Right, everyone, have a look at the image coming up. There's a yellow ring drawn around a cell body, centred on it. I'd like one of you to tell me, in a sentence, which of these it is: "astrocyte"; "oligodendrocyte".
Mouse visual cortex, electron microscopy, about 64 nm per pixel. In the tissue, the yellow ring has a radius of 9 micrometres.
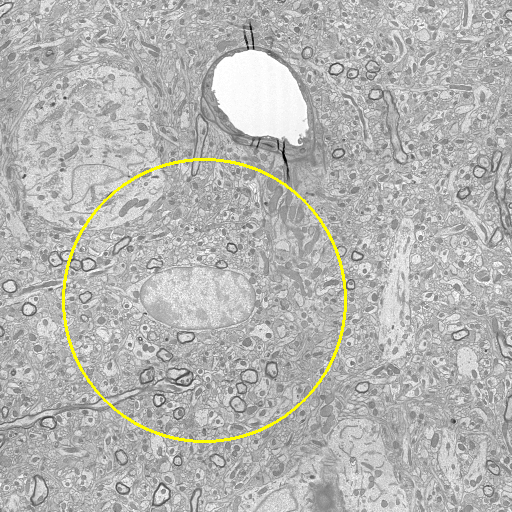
The yellow ring sits on an oligodendrocyte.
